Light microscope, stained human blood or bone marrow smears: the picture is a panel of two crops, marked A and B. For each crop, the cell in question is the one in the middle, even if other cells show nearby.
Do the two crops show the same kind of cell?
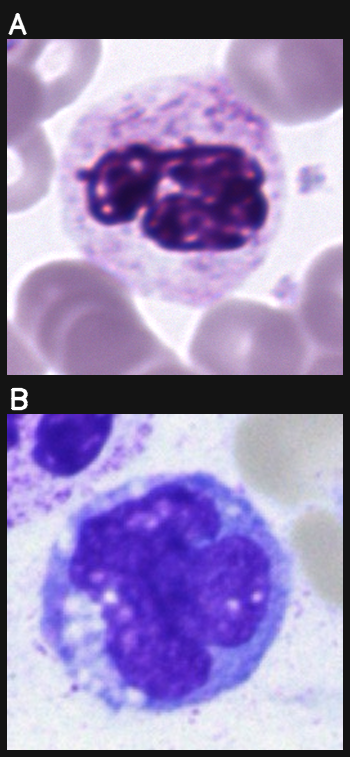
no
